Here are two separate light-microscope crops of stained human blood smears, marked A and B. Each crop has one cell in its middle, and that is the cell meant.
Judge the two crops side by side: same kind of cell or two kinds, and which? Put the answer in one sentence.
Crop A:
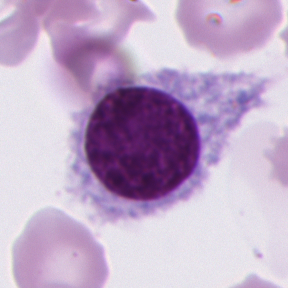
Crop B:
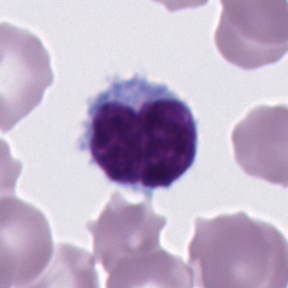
Yes, the two cells in the two crops are hairy cells.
